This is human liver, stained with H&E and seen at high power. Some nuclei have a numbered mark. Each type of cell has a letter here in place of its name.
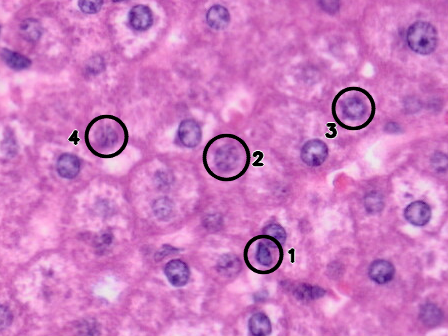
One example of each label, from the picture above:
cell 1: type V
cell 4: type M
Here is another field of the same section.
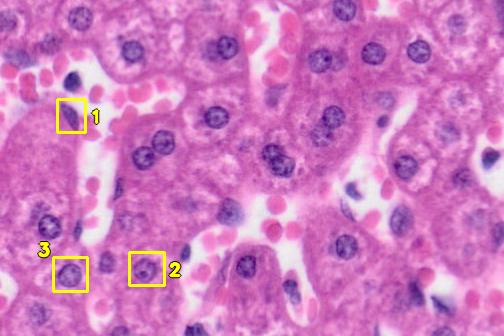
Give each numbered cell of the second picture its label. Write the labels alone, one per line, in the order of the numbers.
type V
type M
type M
